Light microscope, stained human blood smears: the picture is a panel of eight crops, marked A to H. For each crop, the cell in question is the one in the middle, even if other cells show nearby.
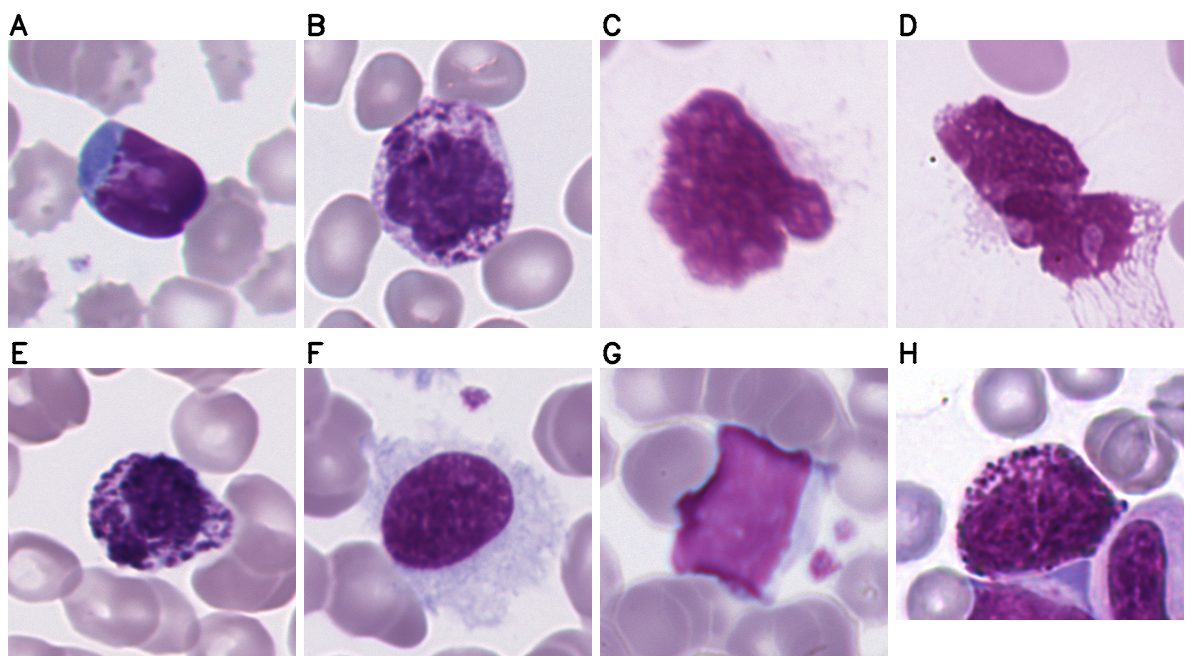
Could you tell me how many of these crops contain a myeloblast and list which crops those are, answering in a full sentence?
The crops hold no myeloblasts, which gives a count of zero.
